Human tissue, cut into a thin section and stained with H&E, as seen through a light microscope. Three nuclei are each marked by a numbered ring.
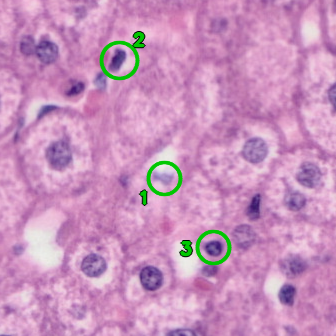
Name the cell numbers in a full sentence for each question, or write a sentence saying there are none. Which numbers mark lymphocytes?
Into the category of lymphocytes fall the cells numbered 2 and 3.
